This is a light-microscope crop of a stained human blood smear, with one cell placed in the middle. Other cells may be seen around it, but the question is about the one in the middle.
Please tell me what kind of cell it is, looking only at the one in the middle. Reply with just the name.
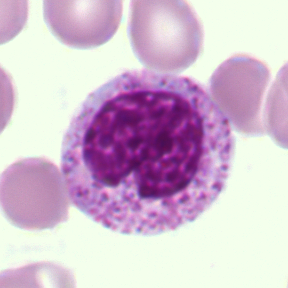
band neutrophil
